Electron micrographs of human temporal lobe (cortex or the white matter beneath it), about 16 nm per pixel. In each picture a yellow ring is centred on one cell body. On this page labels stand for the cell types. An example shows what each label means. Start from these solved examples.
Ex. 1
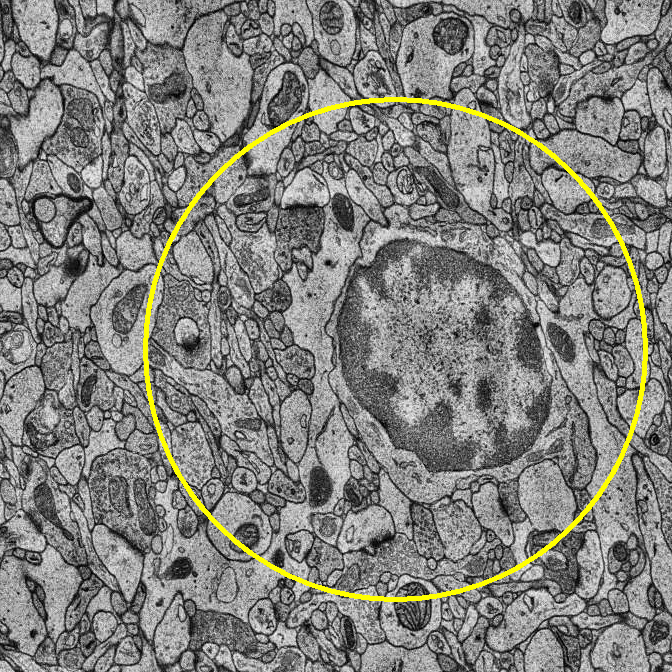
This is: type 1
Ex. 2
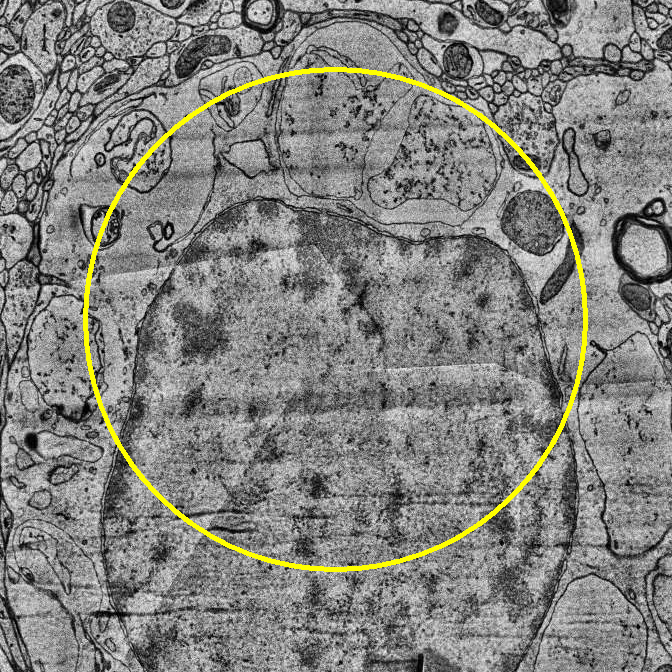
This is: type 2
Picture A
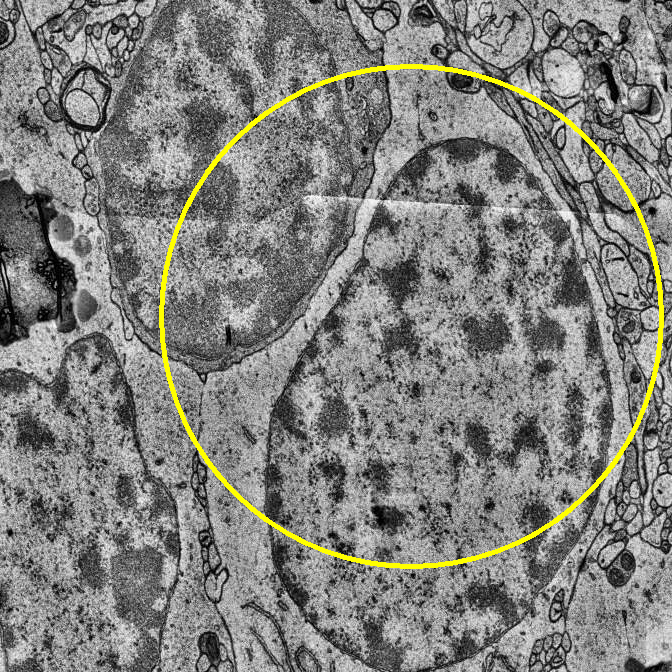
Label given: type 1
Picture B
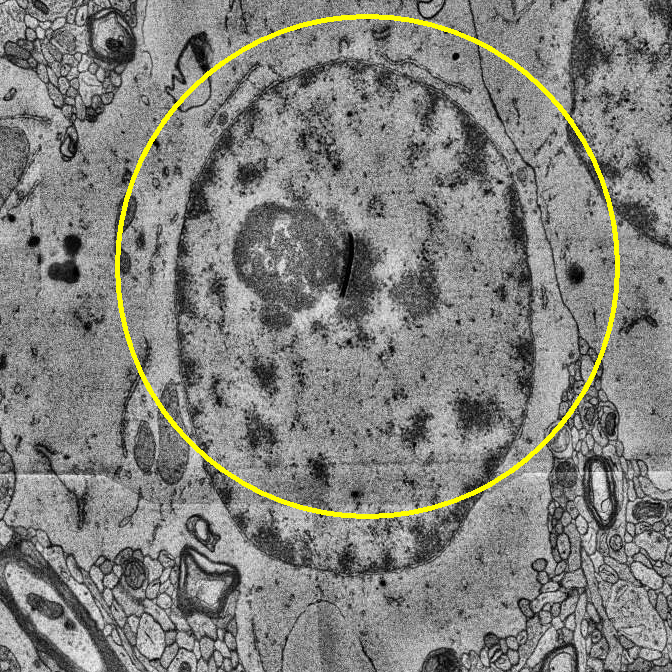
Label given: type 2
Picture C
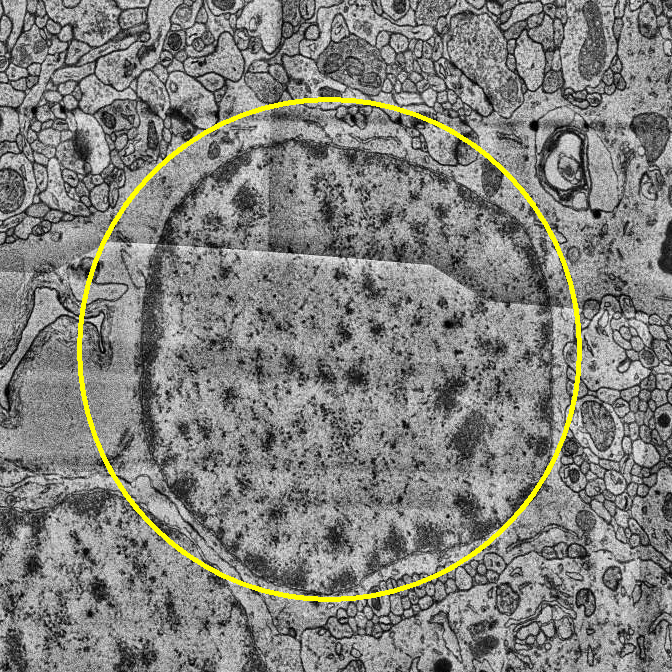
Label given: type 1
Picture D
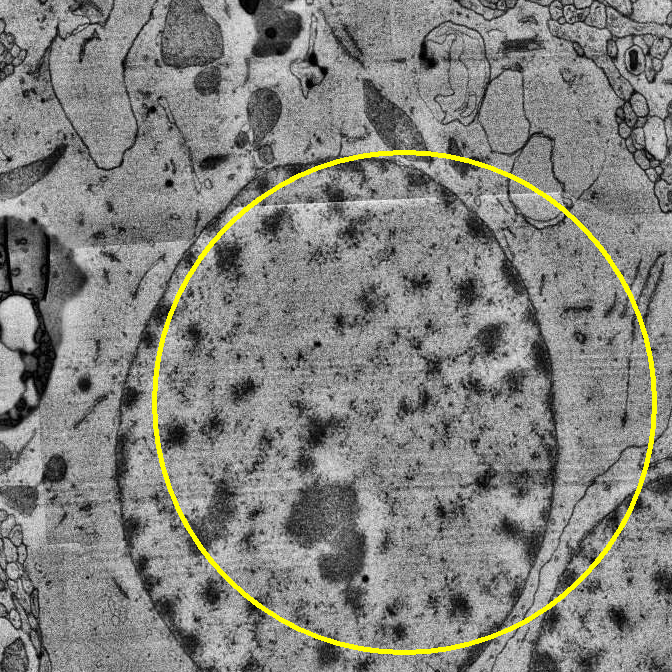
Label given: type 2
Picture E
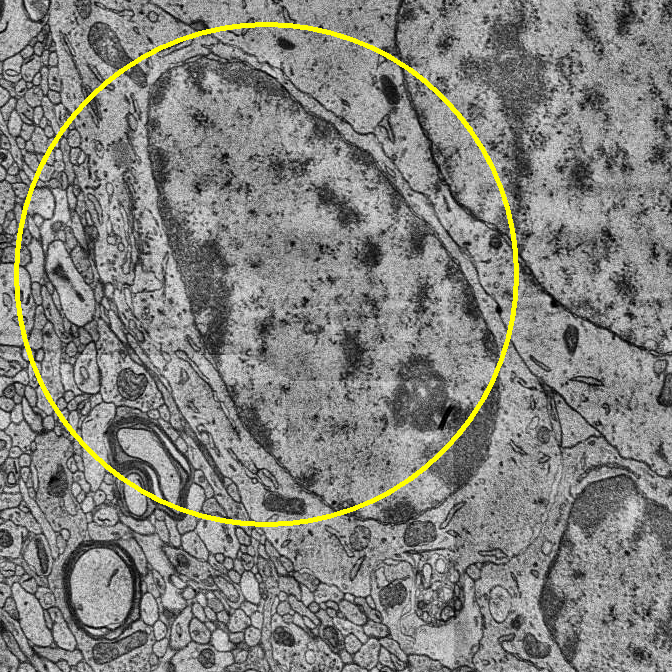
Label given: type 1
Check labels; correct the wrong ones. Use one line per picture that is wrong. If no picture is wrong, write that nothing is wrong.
A: type 2, not type 1
C: type 2, not type 1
